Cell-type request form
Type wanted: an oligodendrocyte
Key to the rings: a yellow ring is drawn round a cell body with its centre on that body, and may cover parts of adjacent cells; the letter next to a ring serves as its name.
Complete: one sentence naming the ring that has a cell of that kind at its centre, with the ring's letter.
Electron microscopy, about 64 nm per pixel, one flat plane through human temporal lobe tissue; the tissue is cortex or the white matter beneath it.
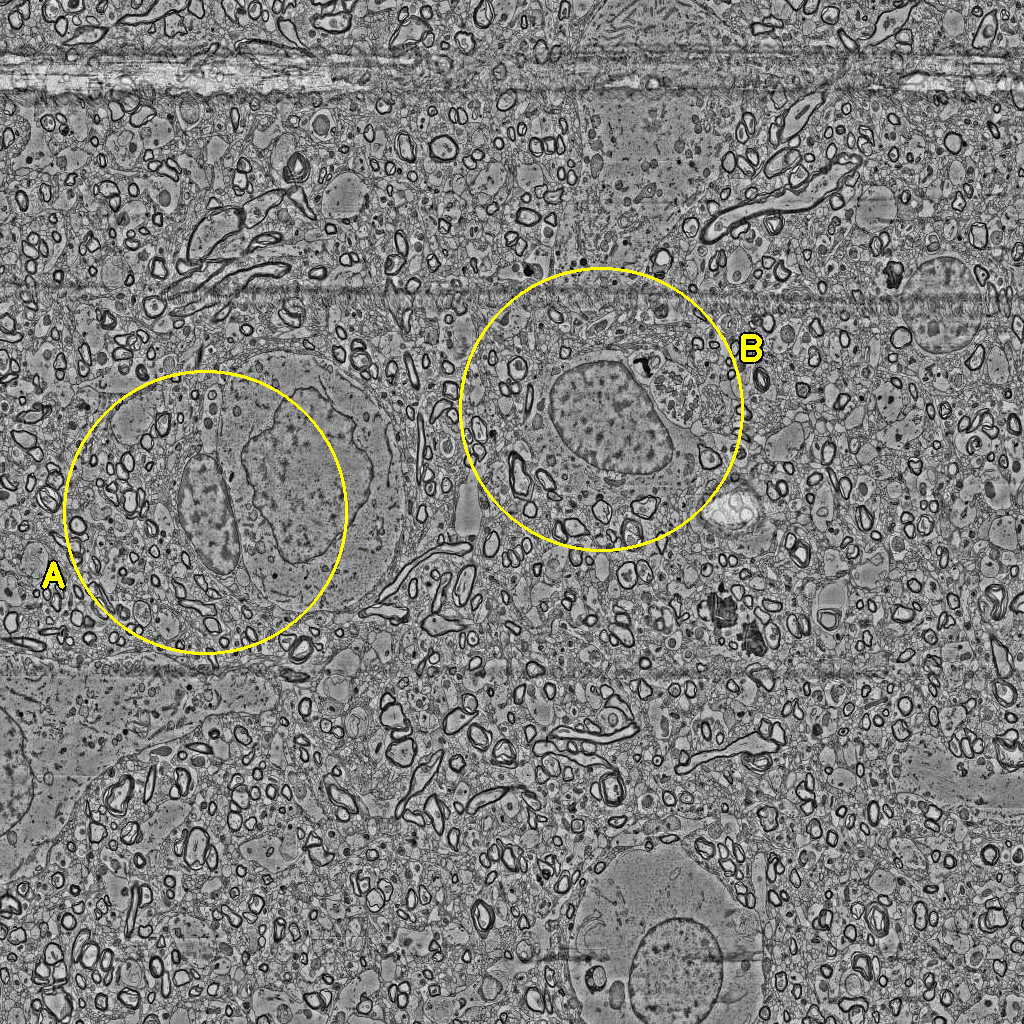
A cell of that kind sits at the centre of the ring labelled B.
